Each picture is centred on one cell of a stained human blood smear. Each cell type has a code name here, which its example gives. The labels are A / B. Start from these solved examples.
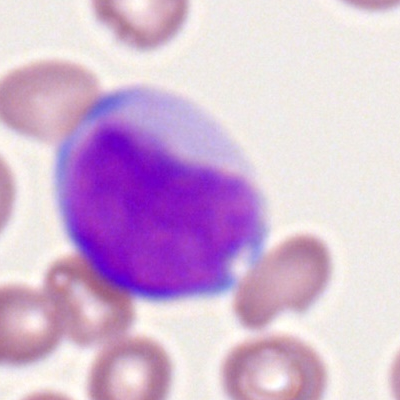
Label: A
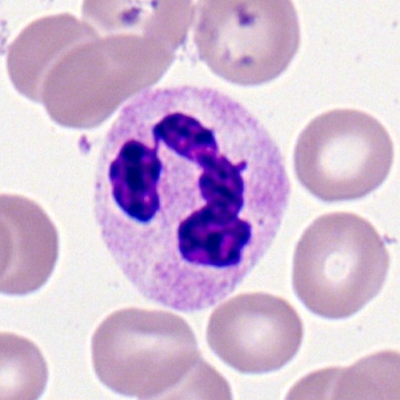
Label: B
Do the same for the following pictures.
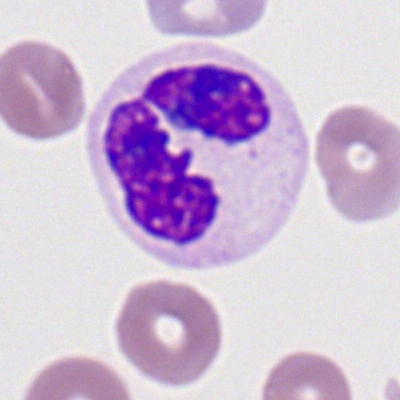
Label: B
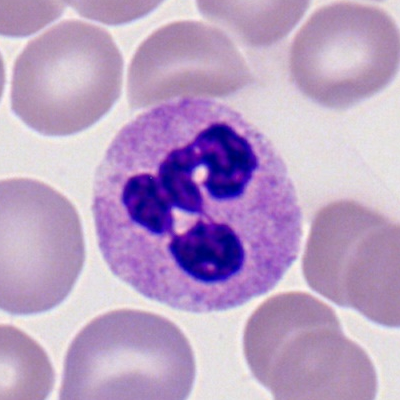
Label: B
